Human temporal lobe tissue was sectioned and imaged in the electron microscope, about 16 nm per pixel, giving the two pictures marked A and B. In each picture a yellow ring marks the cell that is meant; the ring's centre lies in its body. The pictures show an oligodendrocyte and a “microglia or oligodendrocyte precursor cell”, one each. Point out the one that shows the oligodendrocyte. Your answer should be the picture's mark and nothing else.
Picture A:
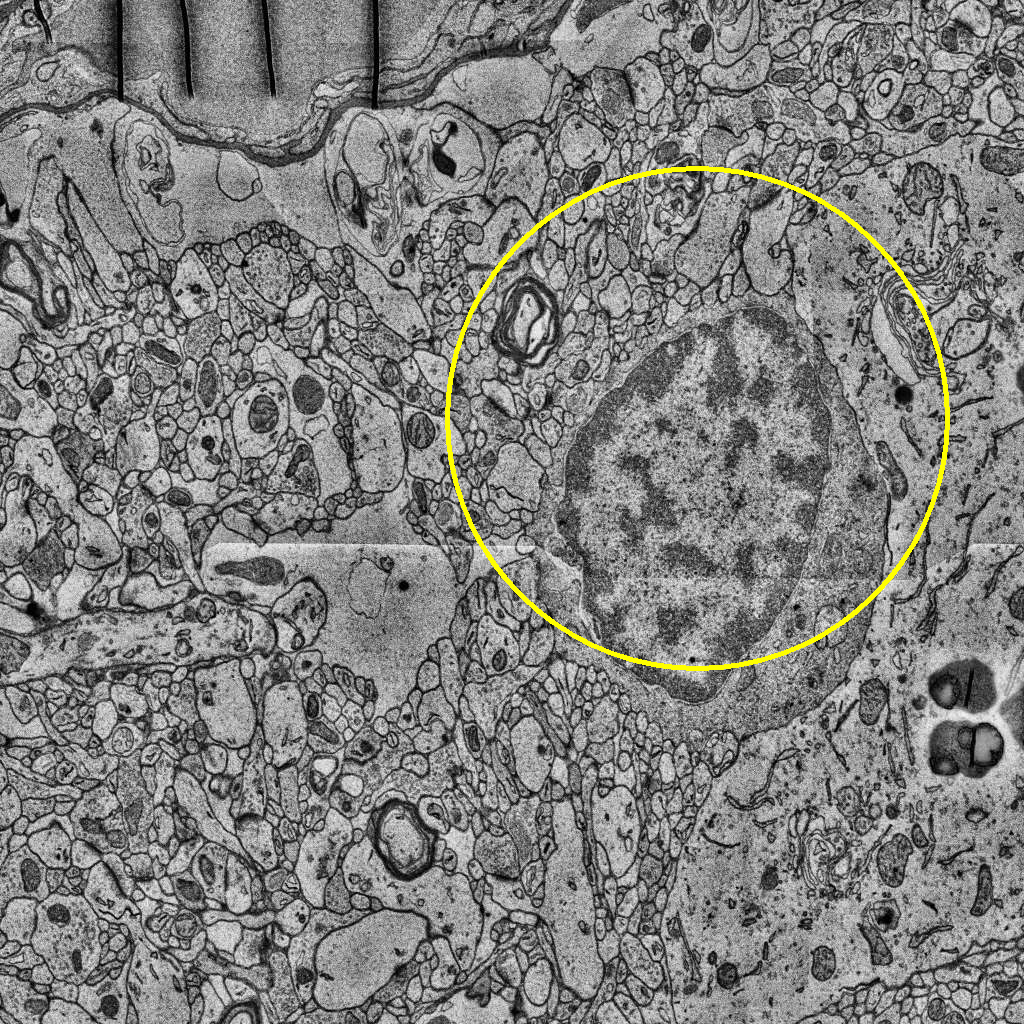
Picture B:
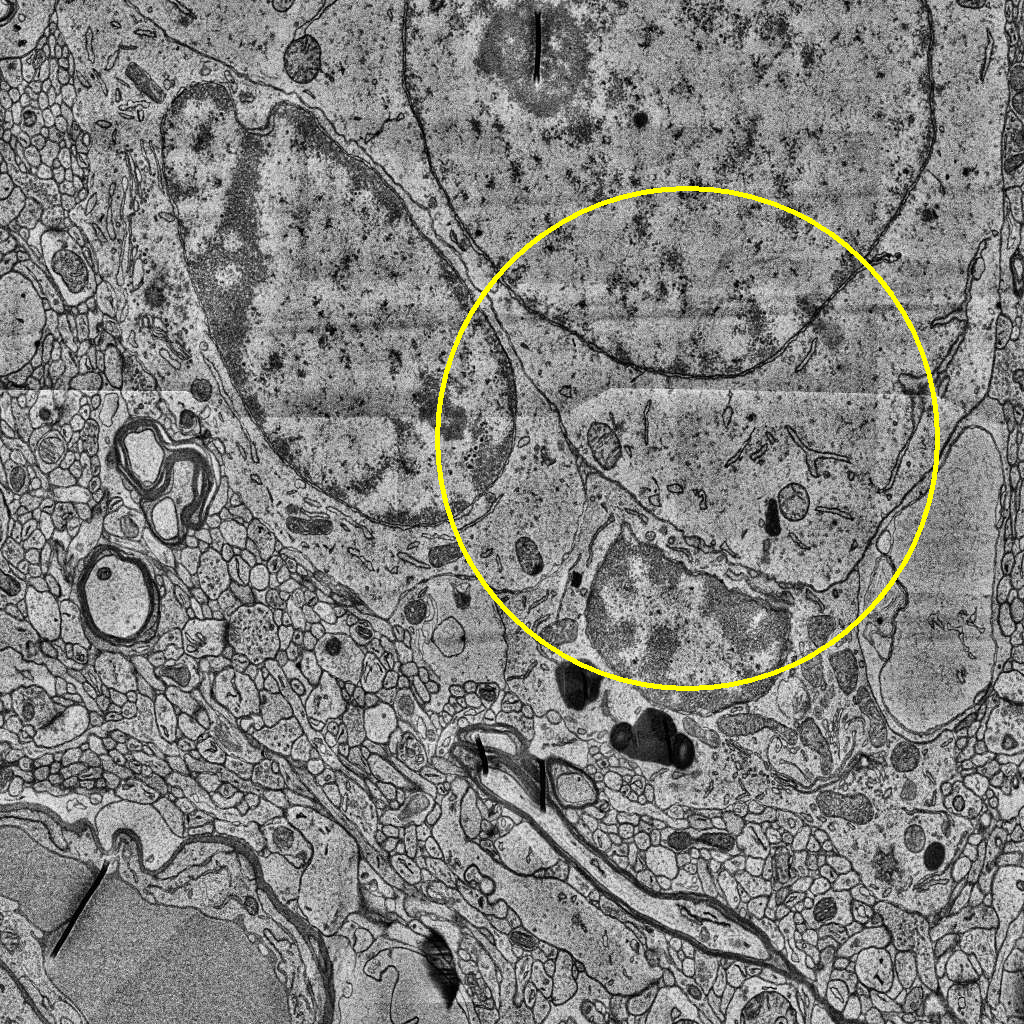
A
